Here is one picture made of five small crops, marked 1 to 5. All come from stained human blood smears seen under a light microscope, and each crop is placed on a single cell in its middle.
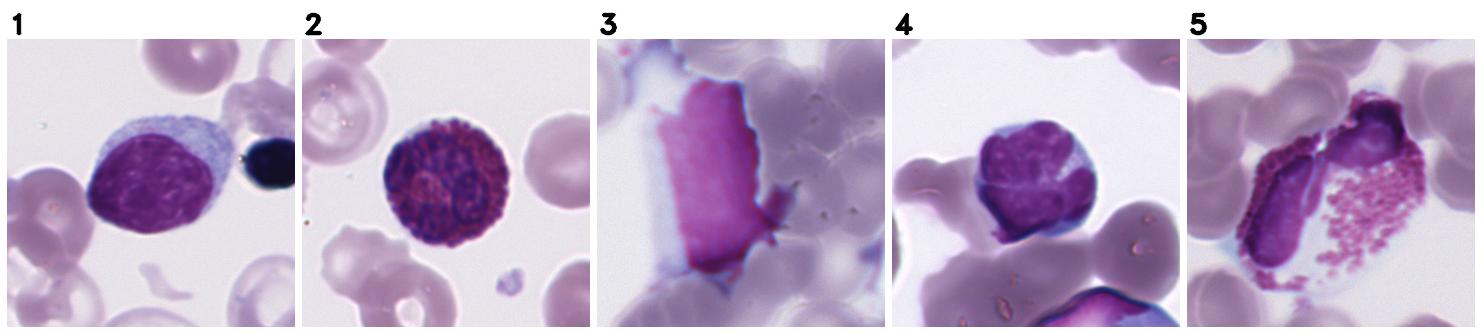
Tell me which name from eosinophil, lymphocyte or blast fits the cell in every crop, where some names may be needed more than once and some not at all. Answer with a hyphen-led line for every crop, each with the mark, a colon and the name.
- 1: lymphocyte
- 2: eosinophil
- 3: lymphocyte
- 4: lymphocyte
- 5: eosinophil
